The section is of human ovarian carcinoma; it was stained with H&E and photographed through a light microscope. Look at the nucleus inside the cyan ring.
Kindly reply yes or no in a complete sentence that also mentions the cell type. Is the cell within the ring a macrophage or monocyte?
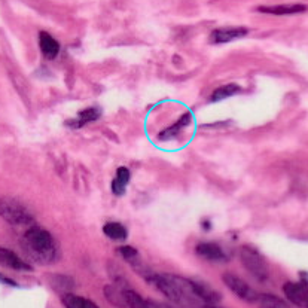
No, far from being a macrophage or monocyte, the cell within the ring is a fibroblast.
